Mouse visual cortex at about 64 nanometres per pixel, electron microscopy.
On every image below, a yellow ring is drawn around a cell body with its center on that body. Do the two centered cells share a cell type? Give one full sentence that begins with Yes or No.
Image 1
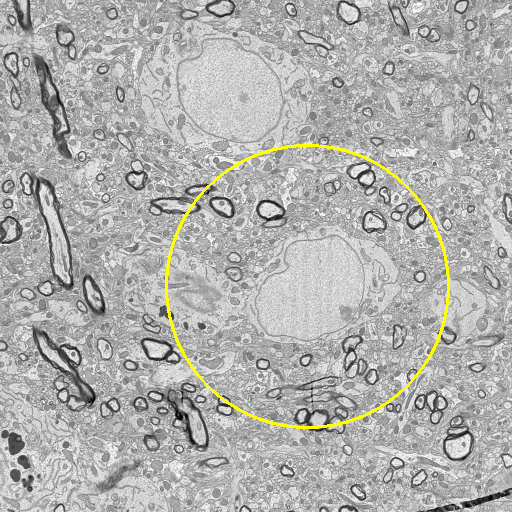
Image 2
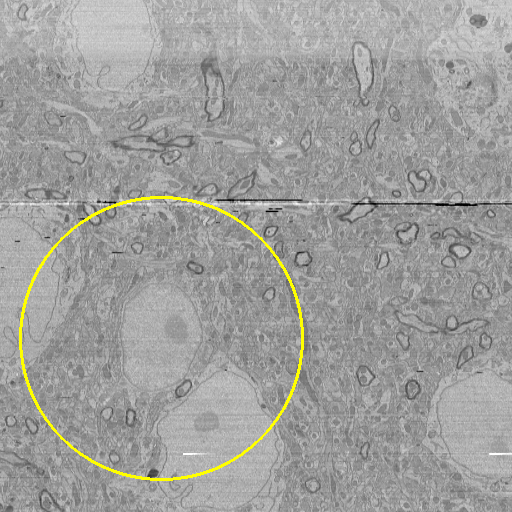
No, the centered cells in the two images are of two separate cell types.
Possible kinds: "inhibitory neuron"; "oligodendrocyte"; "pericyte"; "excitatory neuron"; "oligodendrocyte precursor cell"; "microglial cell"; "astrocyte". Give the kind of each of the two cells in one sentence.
The cell in the second picture is an astrocyte, and that in the first is an excitatory neuron.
